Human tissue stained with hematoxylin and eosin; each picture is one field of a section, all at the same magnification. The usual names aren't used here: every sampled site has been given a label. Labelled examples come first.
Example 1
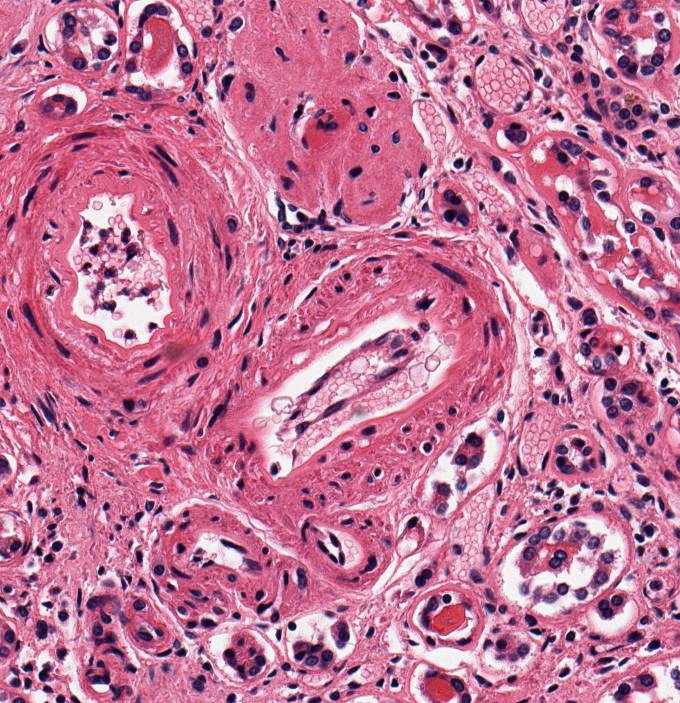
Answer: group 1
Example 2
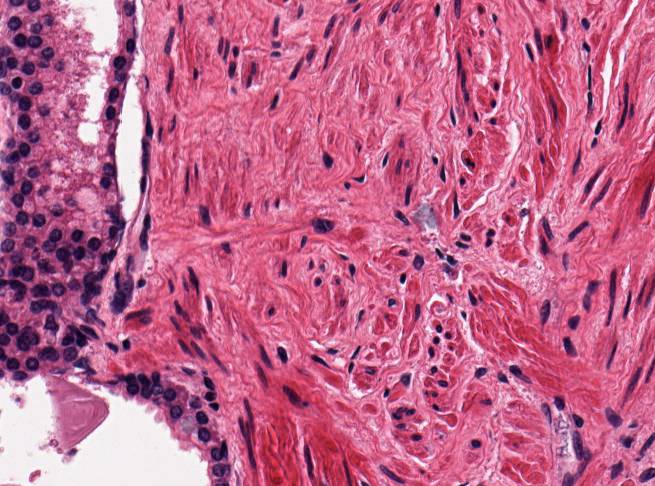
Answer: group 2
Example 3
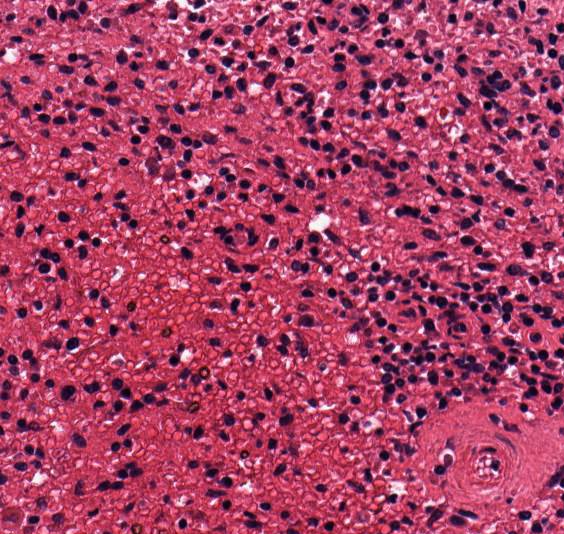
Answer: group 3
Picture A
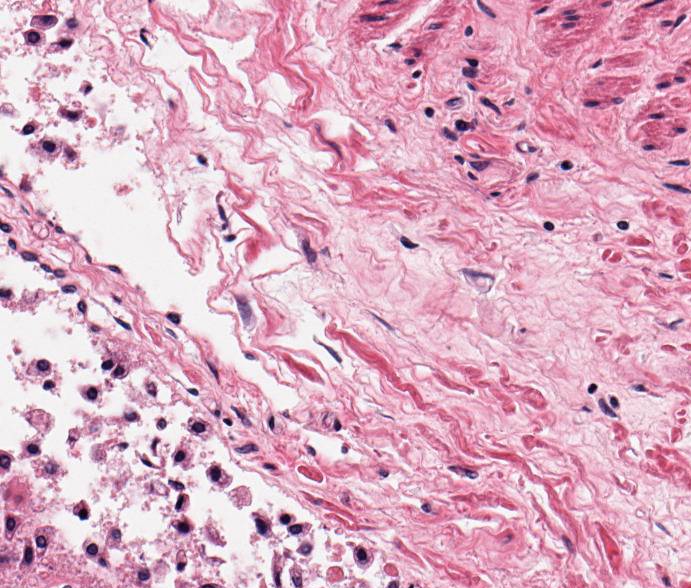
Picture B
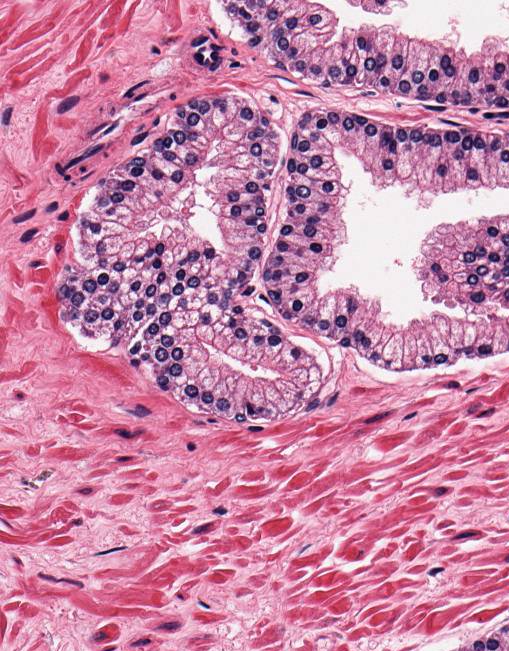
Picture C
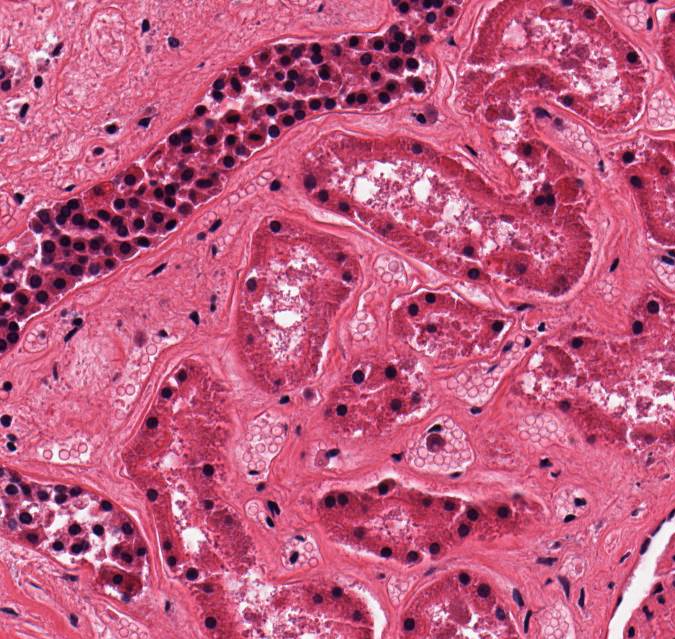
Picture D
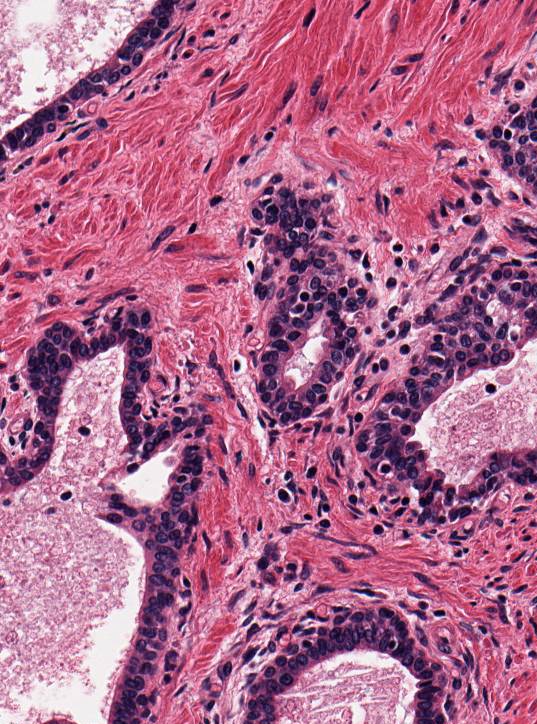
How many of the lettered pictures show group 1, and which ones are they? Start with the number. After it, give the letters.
Count: 1 (C)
